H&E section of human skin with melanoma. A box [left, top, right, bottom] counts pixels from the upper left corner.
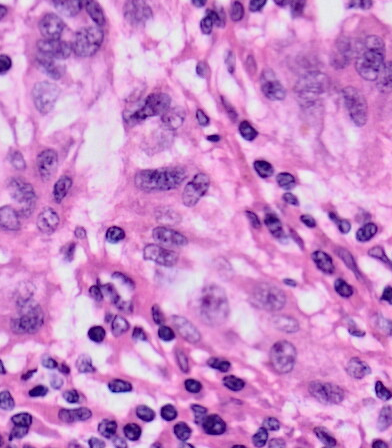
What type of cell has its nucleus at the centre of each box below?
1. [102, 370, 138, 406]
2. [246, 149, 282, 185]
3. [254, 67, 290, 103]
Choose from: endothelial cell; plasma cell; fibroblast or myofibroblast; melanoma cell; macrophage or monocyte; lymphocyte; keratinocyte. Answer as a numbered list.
1. lymphocyte
2. lymphocyte
3. melanoma cell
